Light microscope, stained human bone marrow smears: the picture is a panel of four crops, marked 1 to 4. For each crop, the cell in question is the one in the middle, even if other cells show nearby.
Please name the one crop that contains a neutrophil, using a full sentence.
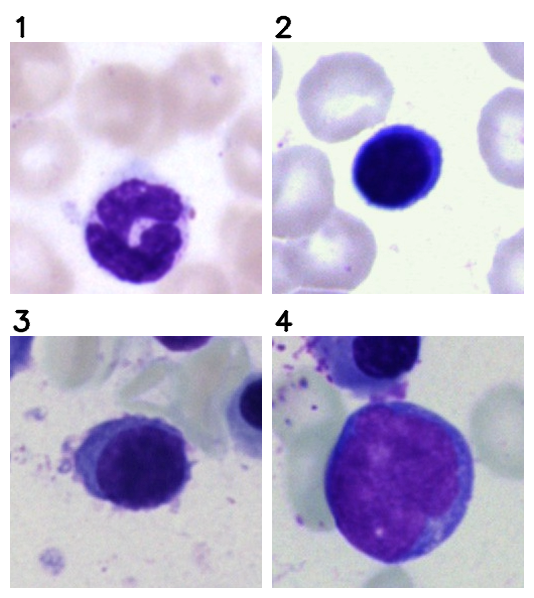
The one crop that shows a neutrophil is crop 1.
